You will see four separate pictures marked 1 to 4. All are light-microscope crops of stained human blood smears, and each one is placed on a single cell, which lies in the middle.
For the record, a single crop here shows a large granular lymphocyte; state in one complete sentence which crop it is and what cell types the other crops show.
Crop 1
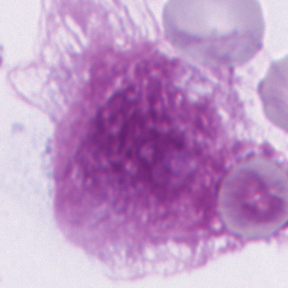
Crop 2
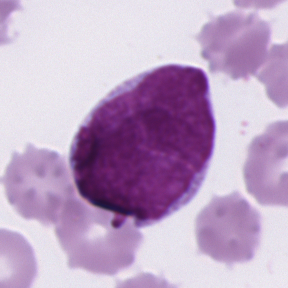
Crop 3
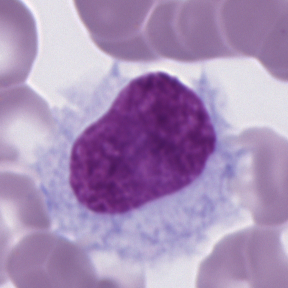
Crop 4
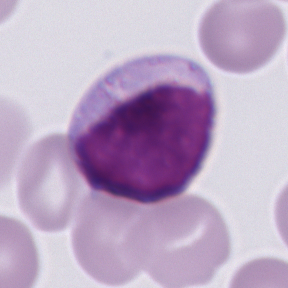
Crop 4 is identified as a large granular lymphocyte, whereas crop 1 is a smudge cell, crop 2 is a myeloblast and crop 3 is a hairy cell.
